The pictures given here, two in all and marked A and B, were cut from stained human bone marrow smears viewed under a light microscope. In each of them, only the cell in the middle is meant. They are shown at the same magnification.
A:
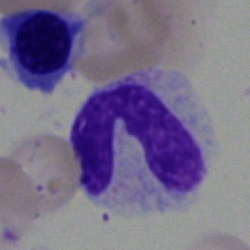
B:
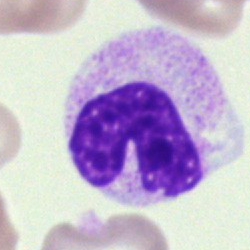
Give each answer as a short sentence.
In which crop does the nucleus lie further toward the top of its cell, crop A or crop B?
In crop A the nucleus is shifted more toward the top.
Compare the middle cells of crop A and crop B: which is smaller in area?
The cell in crop A is smaller; the one in crop B has about 1.5 times its area.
